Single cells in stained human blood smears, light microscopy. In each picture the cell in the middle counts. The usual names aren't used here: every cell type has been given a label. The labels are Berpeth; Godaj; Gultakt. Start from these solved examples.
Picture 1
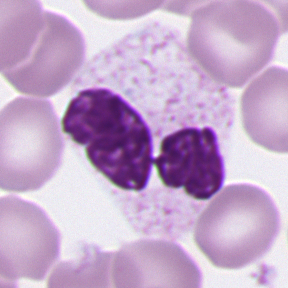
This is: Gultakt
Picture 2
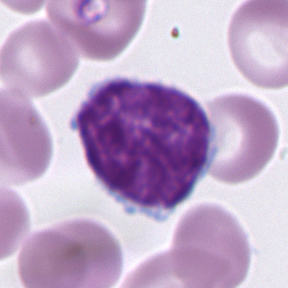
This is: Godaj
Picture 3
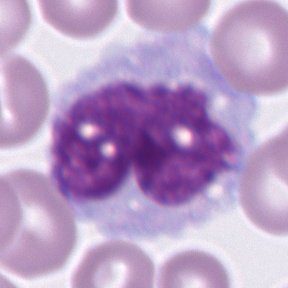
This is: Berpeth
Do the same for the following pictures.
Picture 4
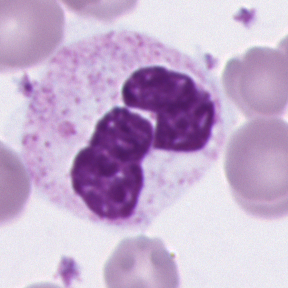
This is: Gultakt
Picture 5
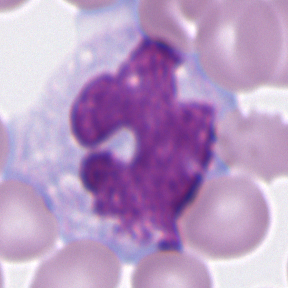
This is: Berpeth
